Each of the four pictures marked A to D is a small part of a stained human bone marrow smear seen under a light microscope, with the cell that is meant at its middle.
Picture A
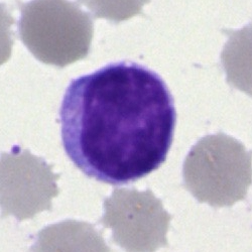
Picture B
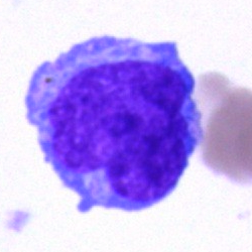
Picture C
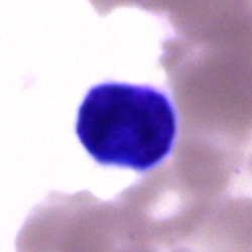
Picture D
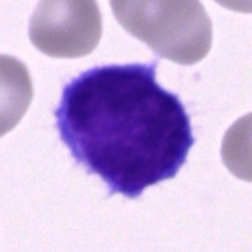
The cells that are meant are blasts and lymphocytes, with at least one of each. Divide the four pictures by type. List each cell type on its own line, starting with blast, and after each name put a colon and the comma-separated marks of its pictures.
blast: B
lymphocyte: A, C, D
